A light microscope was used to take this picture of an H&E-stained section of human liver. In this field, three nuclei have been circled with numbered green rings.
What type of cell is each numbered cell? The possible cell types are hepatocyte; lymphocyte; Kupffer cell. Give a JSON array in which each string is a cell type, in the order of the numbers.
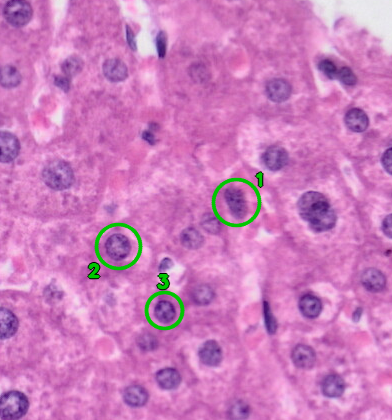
["Kupffer cell", "hepatocyte", "hepatocyte"]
